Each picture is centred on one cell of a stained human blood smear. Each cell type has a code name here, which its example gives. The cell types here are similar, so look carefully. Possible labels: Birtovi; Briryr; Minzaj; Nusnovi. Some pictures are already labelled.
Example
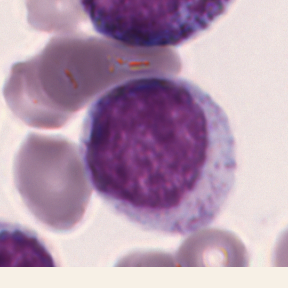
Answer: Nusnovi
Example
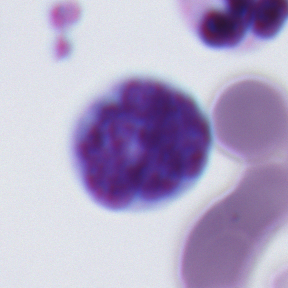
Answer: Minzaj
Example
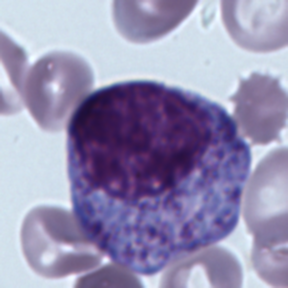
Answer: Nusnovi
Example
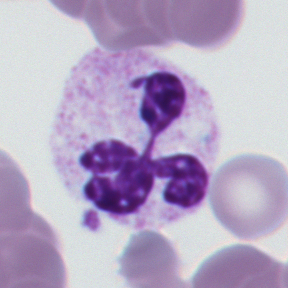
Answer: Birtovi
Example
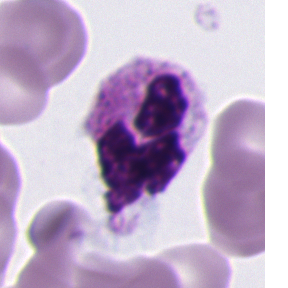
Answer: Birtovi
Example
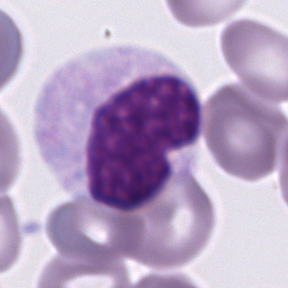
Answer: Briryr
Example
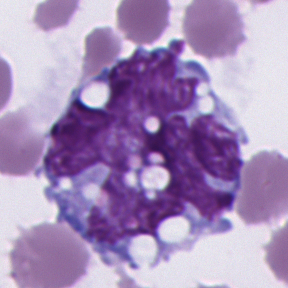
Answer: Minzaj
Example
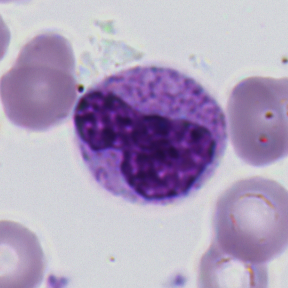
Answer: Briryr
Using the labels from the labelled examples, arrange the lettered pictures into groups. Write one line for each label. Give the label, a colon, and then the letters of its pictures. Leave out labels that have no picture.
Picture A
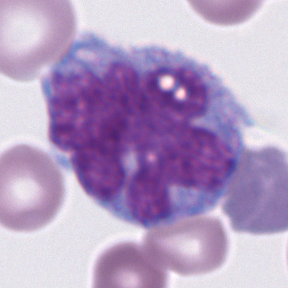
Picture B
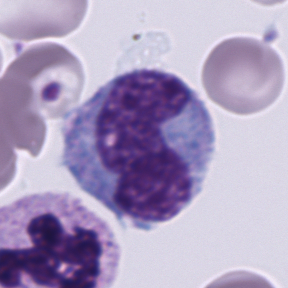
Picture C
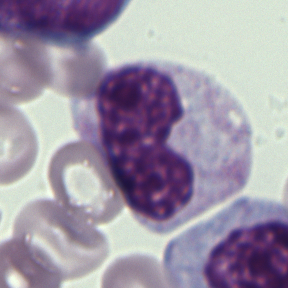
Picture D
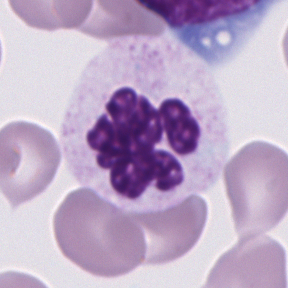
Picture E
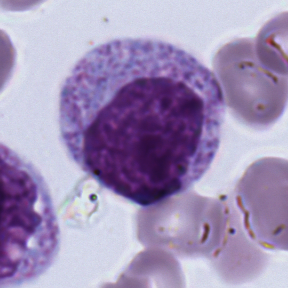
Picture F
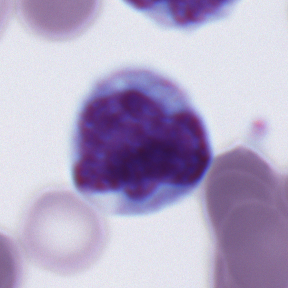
Birtovi: D
Briryr: C
Minzaj: A, B, F
Nusnovi: E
